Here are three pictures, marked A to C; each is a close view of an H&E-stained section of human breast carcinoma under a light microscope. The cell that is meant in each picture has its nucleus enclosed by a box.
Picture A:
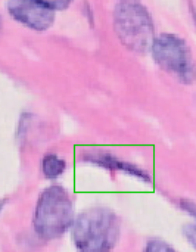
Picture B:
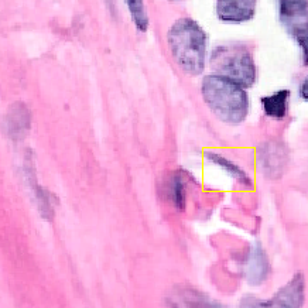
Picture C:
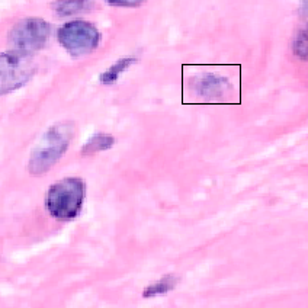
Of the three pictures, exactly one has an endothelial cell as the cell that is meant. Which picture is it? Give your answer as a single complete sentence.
The cell in picture B is the endothelial cell.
